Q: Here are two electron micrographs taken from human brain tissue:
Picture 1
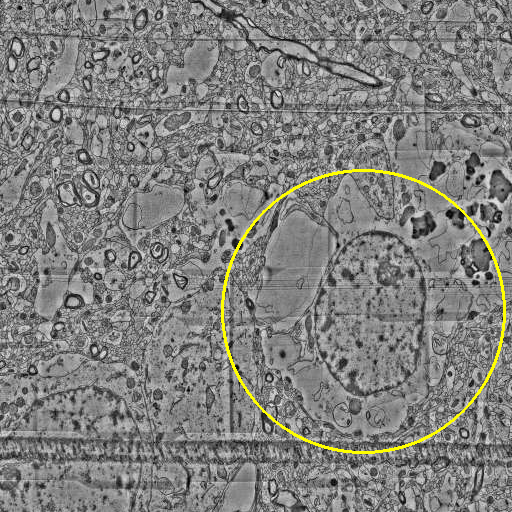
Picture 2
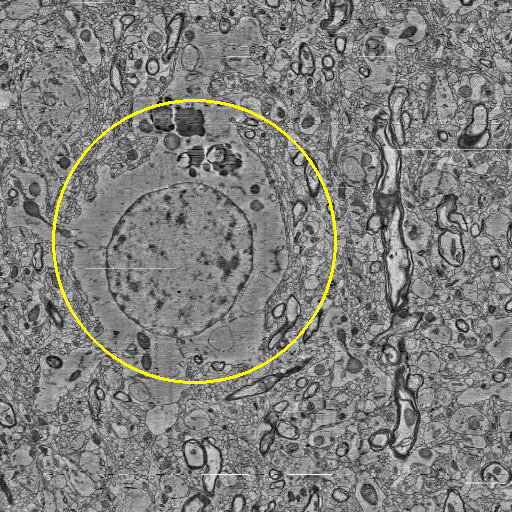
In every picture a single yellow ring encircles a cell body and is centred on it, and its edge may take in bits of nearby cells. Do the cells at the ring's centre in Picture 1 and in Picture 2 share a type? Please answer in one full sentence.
Yes, the cells at the ring's centre in Picture 1 and Picture 2 share a type.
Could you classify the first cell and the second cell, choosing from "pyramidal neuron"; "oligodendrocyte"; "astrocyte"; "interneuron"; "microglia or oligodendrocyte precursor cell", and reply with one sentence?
Each of the two pictures has an astrocyte at the ring centre.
